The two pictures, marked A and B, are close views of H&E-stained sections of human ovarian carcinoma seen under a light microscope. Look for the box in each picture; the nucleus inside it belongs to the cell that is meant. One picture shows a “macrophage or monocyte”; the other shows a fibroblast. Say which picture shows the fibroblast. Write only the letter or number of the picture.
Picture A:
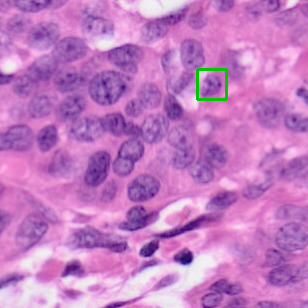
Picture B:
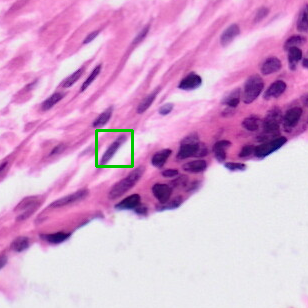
B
